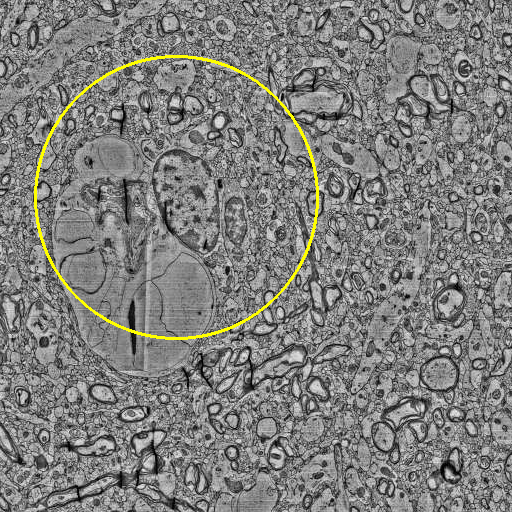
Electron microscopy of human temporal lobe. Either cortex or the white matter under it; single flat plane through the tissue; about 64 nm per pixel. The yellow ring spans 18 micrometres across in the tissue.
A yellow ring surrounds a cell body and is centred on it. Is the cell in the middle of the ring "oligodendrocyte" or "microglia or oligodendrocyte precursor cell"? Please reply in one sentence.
The ring is centred on a microglial cell or oligodendrocyte precursor cell.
